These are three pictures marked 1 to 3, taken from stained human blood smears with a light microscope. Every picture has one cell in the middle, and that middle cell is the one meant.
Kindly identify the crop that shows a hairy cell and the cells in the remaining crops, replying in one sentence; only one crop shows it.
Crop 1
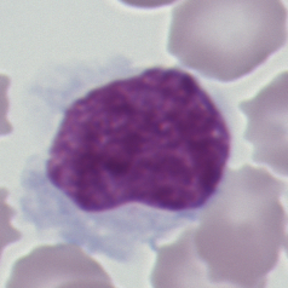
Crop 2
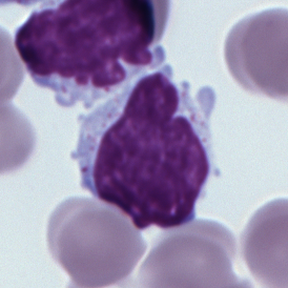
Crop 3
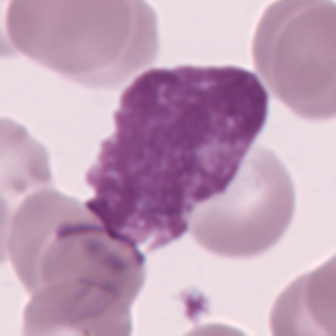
Crop 1 is the one showing a hairy cell, whereas crop 2 is a large granular lymphocyte and crop 3 is a smudge cell.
